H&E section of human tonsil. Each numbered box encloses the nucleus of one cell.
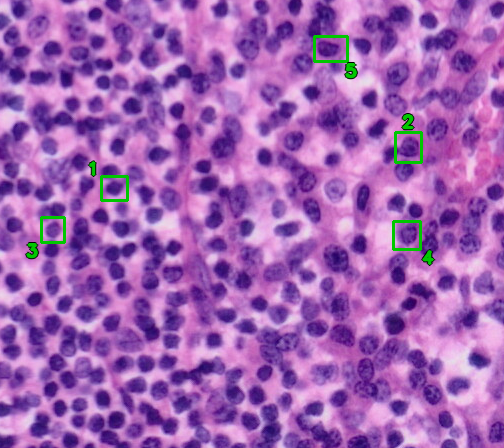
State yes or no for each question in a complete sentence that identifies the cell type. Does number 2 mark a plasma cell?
Yes, the cell at marker 2 is a plasma cell.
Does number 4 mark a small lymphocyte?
No, cell number 4 is a plasma cell; it is not a small lymphocyte.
